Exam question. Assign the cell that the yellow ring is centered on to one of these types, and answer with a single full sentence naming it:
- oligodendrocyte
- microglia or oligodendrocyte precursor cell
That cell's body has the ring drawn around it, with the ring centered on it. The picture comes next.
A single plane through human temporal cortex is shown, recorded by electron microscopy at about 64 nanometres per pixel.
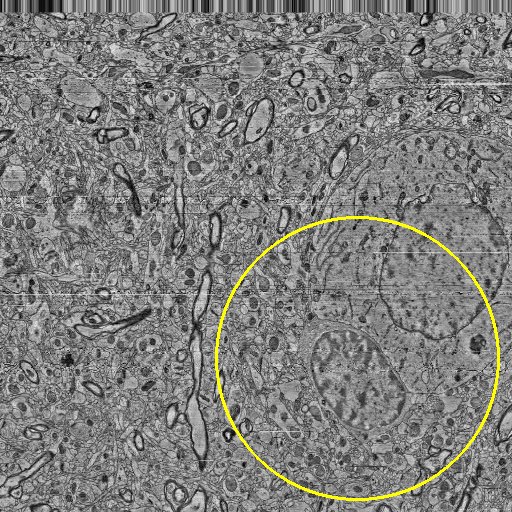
In the micrograph, the cell the yellow ring is centered on is an oligodendrocyte.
